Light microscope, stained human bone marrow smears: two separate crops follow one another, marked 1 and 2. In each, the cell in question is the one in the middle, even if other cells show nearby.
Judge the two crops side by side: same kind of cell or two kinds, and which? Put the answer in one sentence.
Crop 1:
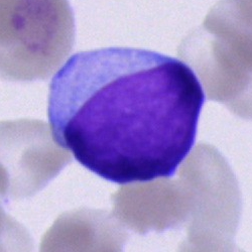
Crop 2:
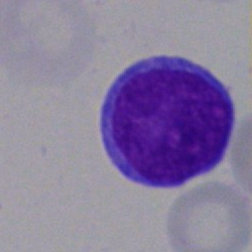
Yes, blasts are what the two crops show.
